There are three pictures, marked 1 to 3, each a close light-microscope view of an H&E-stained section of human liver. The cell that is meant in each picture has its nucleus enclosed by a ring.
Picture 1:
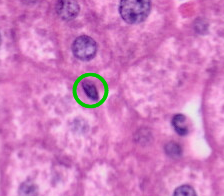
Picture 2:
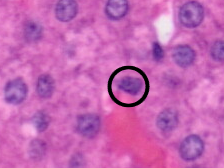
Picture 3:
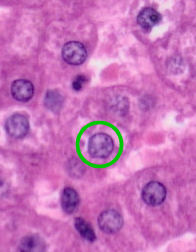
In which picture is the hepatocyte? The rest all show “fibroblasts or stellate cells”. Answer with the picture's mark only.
3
